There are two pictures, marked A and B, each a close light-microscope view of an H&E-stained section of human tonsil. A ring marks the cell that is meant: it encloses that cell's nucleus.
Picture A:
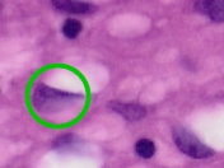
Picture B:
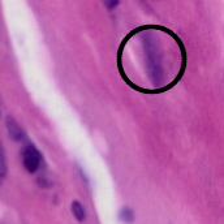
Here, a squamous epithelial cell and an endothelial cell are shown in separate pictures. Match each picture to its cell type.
A: squamous epithelial cell
B: endothelial cell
